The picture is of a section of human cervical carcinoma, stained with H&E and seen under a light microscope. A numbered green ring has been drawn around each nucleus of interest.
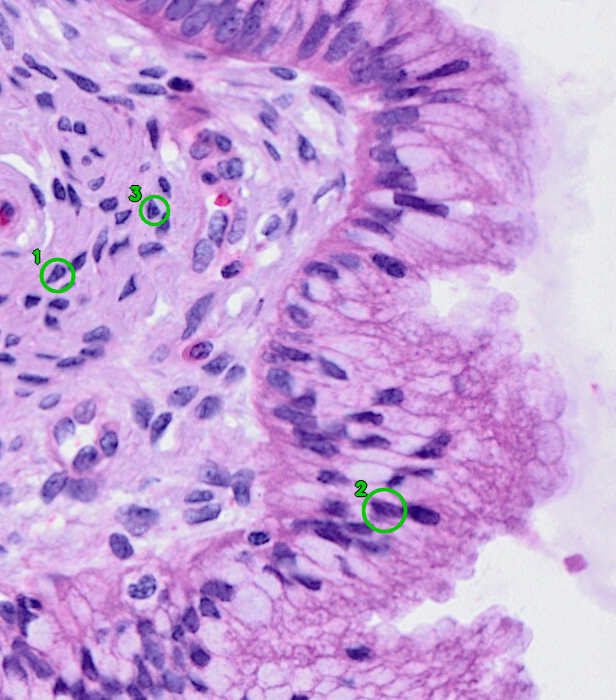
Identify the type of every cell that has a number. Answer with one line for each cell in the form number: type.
1: fibroblast
2: secretory epithelial cell
3: fibroblast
